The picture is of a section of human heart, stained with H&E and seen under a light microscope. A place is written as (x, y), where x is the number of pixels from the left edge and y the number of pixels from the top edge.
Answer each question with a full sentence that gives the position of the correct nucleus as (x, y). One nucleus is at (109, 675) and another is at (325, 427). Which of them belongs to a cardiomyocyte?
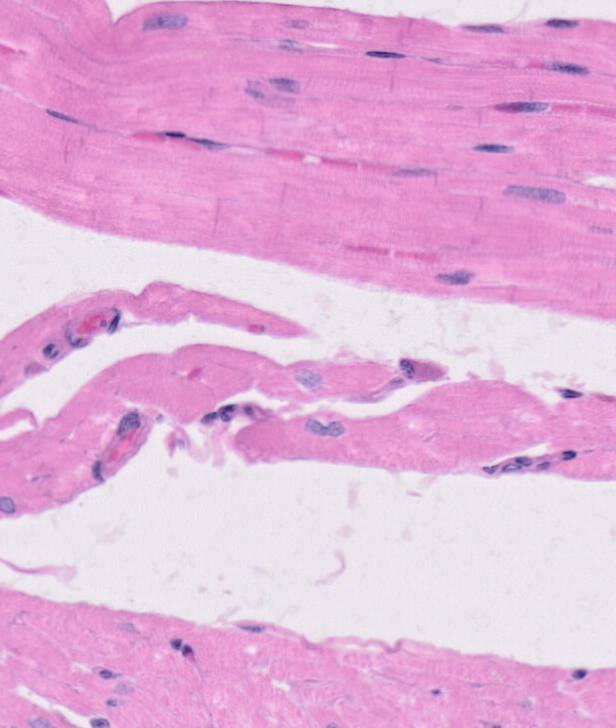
At (325, 427) lies the nucleus that belongs to a cardiomyocyte.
